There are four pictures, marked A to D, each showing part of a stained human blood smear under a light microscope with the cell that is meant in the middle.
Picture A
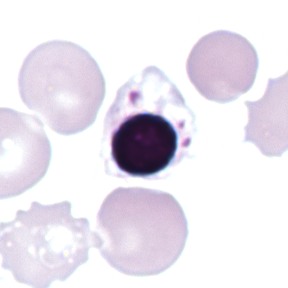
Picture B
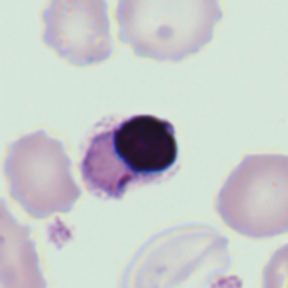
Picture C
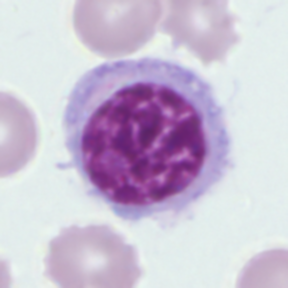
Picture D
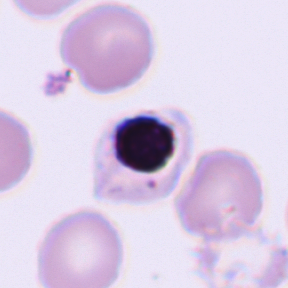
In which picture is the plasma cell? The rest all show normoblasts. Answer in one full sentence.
The plasma cell is the one in picture C.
